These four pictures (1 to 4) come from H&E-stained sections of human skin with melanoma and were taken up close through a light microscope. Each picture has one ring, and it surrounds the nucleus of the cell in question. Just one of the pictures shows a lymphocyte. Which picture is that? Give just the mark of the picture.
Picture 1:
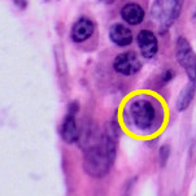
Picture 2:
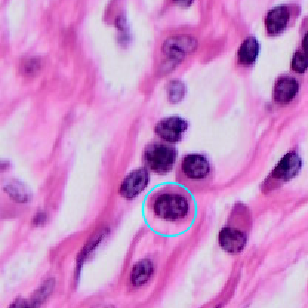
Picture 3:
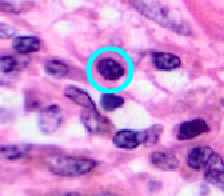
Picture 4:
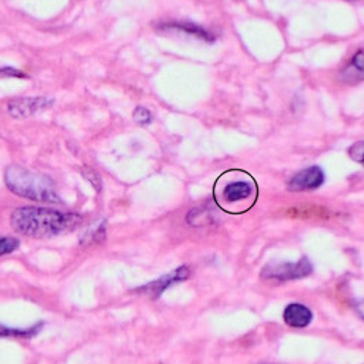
4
